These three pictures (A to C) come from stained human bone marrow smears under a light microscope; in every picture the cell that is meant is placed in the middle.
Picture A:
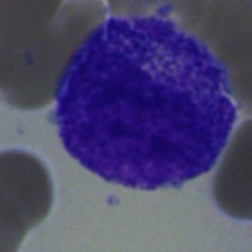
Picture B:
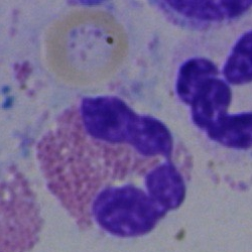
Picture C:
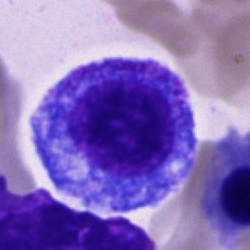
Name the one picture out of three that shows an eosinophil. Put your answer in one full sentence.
The cell in picture B is the eosinophil.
